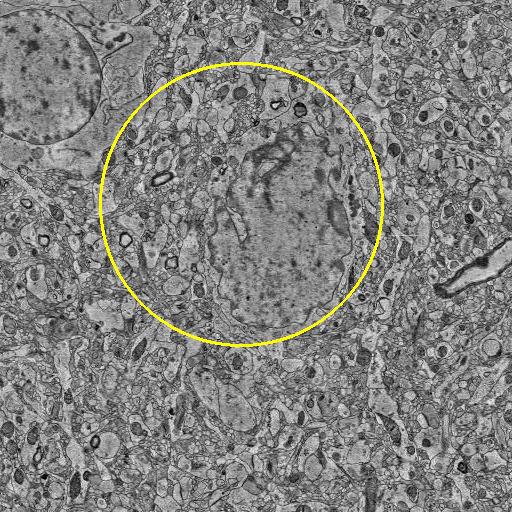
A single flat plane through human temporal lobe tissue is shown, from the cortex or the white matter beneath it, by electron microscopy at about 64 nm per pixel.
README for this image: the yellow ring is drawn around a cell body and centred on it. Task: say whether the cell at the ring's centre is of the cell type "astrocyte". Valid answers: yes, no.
no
